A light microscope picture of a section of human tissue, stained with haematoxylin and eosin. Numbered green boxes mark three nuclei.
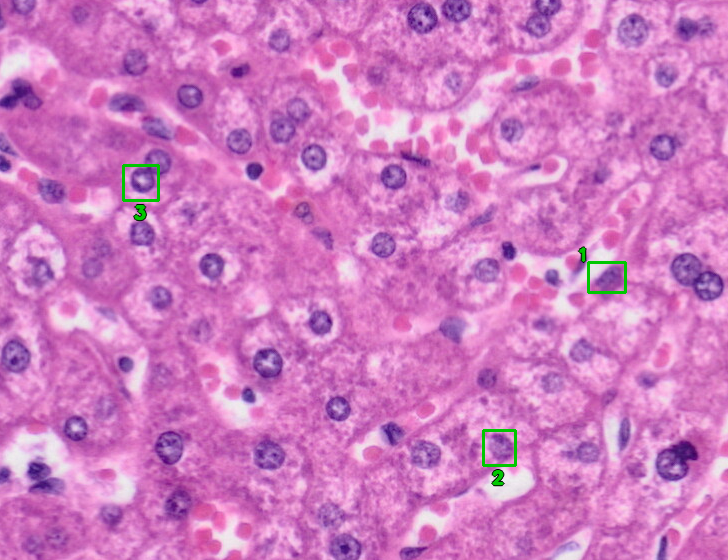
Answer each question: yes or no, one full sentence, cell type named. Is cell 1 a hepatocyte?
No, a Kupffer cell is what cell 1 is, not a hepatocyte.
